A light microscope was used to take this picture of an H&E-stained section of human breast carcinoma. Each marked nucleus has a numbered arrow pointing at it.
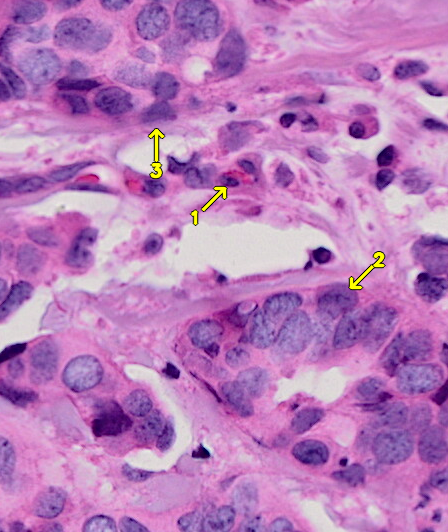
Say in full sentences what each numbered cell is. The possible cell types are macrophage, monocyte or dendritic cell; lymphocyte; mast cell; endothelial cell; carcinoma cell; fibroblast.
Cell 1 is an endothelial cell. Cells 2 and 3 are carcinoma cells.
